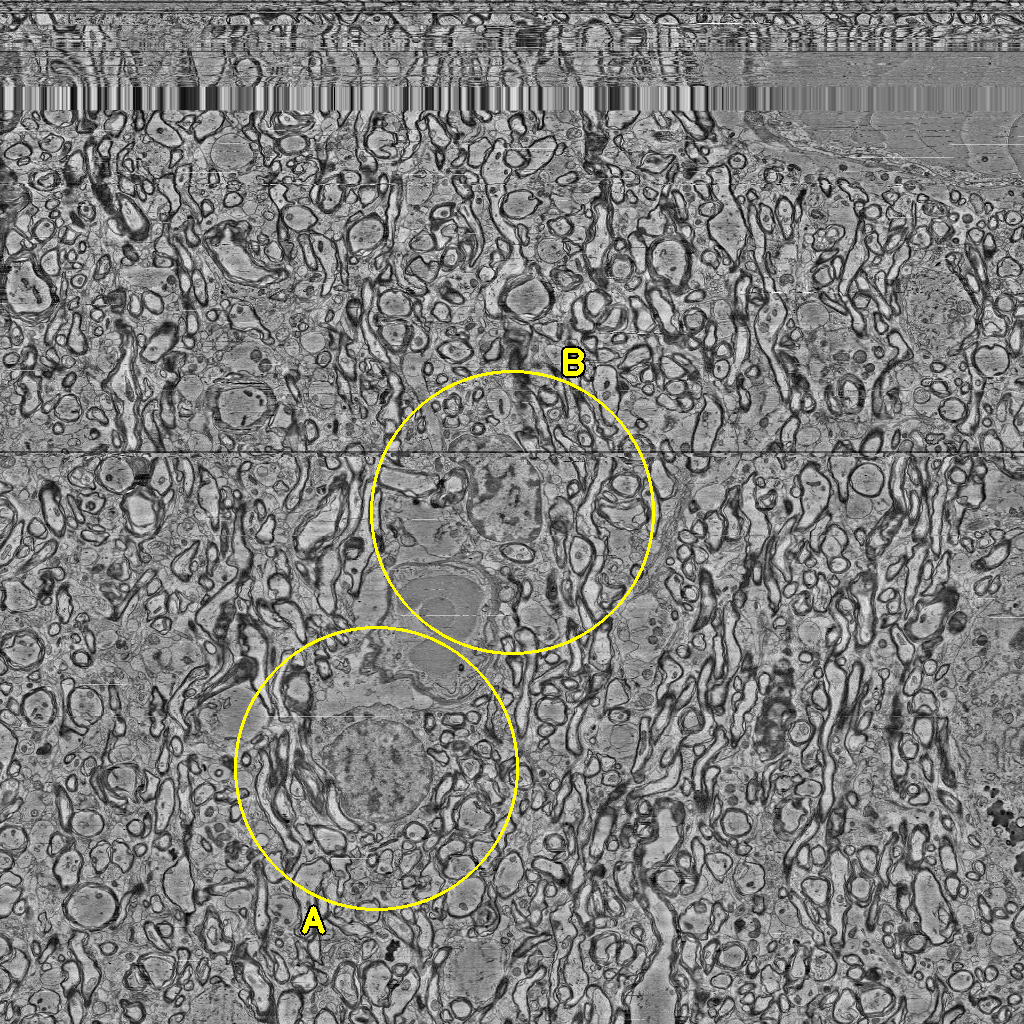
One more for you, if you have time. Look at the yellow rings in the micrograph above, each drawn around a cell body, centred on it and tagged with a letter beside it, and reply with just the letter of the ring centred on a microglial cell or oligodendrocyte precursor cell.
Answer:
B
